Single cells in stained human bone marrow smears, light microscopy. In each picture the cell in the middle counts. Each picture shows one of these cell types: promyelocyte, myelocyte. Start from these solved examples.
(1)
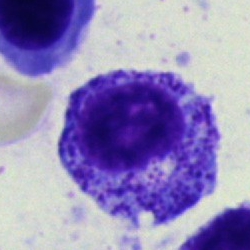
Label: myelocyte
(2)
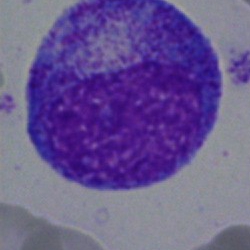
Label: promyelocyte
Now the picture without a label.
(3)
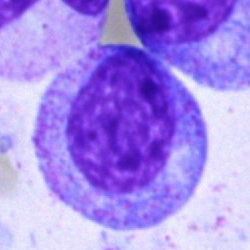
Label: myelocyte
